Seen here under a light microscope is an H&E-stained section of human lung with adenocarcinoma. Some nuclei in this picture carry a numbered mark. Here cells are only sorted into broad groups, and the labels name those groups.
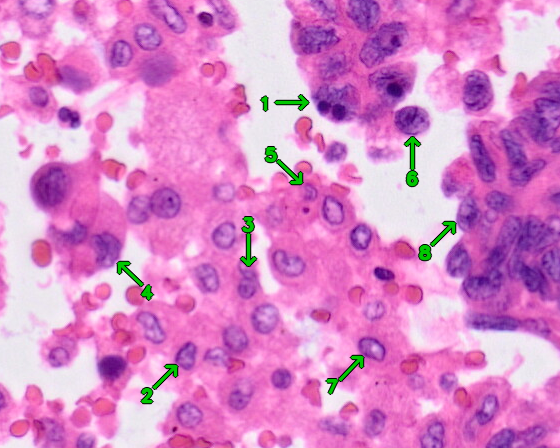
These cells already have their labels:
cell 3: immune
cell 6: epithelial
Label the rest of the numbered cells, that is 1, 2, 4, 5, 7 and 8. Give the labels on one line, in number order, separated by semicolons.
epithelial; immune; epithelial; immune; immune; epithelial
